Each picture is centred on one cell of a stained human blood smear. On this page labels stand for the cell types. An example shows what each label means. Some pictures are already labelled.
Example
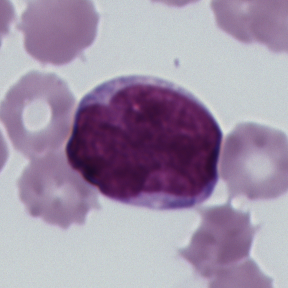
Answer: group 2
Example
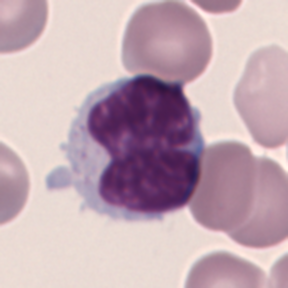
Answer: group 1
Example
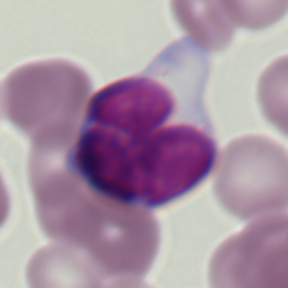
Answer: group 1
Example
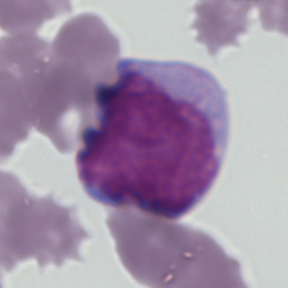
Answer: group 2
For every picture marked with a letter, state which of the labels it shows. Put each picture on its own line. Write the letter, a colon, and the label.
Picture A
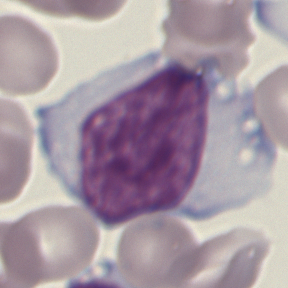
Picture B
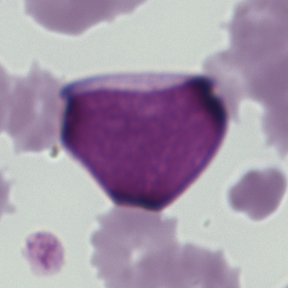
A: group 2
B: group 2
